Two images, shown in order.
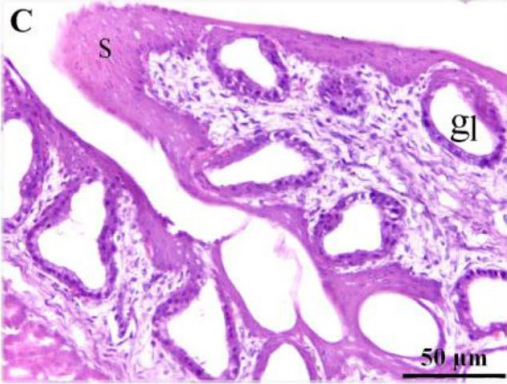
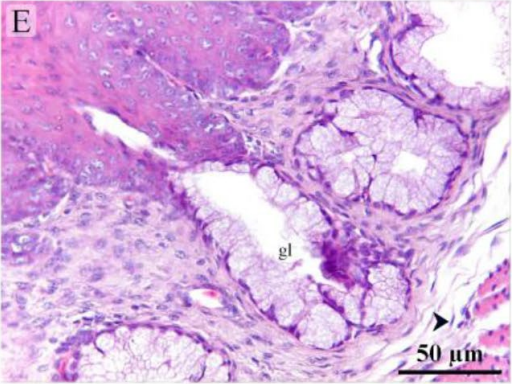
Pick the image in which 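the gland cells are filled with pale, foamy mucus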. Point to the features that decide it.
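Second image: glands made of tall cells with pale foamy cytoplasm and basal flattened nuclei. First image: glands with wide empty lumina lined by low cells without pale foamy cytoplasm.
Answer: the second image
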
